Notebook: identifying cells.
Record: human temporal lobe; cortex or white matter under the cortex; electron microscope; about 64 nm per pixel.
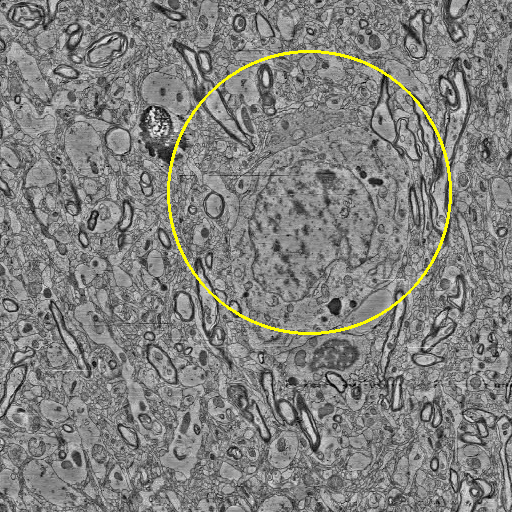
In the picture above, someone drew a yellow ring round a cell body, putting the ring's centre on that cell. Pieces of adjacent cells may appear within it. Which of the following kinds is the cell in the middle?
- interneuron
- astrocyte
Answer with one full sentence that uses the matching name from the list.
In this picture, the yellow ring is centred on the body of an interneuron.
